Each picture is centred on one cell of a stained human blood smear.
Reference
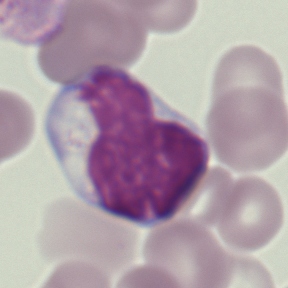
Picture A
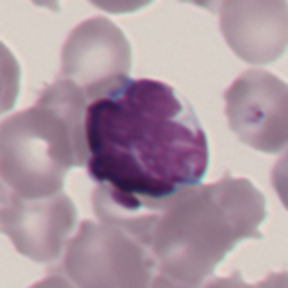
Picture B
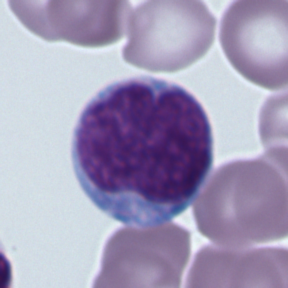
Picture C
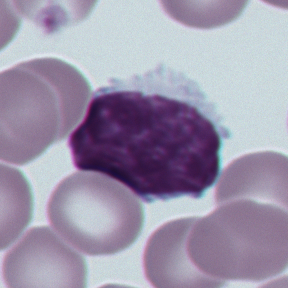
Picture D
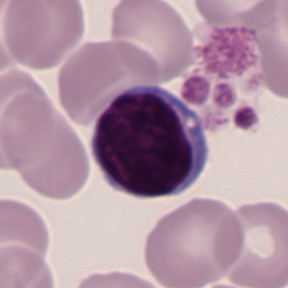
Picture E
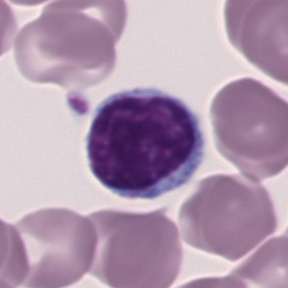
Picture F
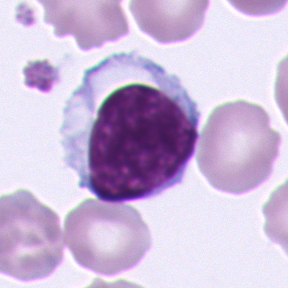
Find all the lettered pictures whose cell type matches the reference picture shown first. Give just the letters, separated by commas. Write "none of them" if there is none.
none of them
